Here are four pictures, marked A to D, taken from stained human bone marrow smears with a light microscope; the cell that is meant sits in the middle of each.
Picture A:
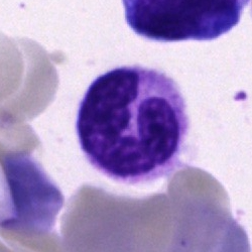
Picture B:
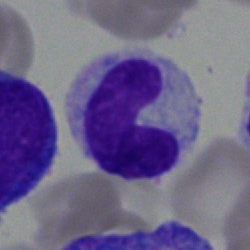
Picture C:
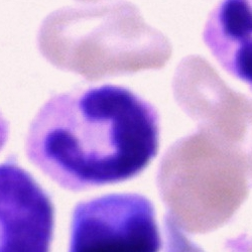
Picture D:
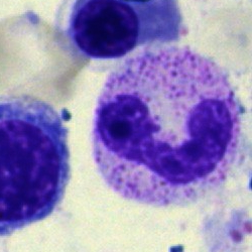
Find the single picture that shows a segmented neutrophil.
C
